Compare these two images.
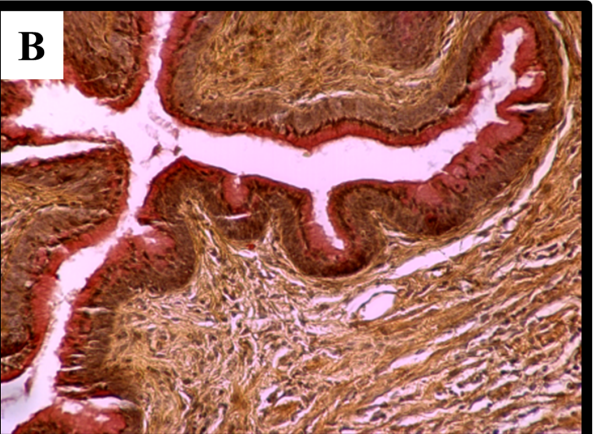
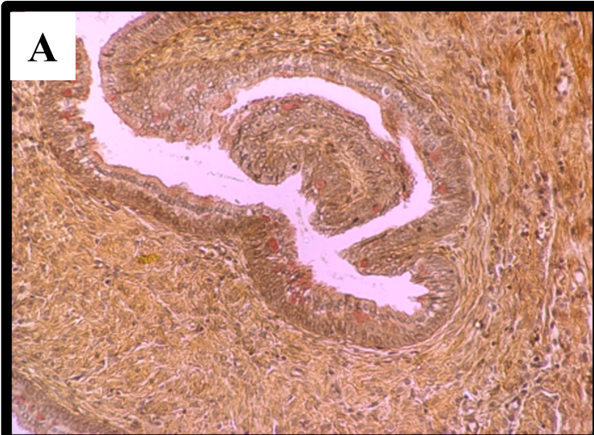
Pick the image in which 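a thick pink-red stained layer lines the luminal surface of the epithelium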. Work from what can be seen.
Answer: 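First image: a broad continuous pink-red band lines the lumen along the whole epithelium. Second image: only scattered faint pink-red spots in the epithelium, no continuous band.
The first image.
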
